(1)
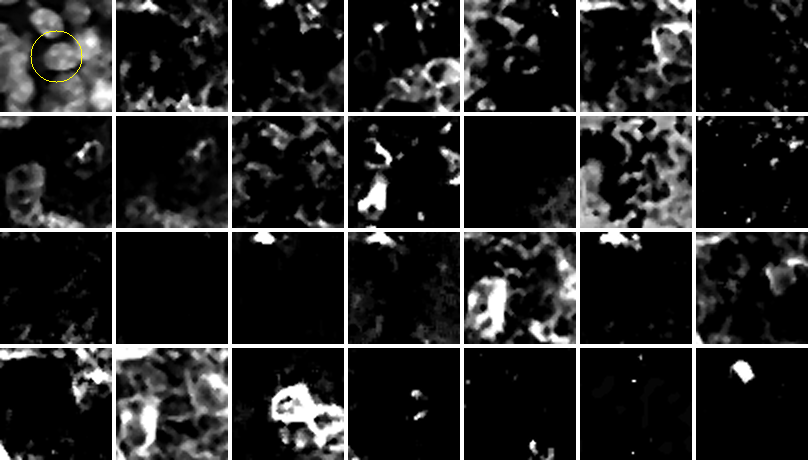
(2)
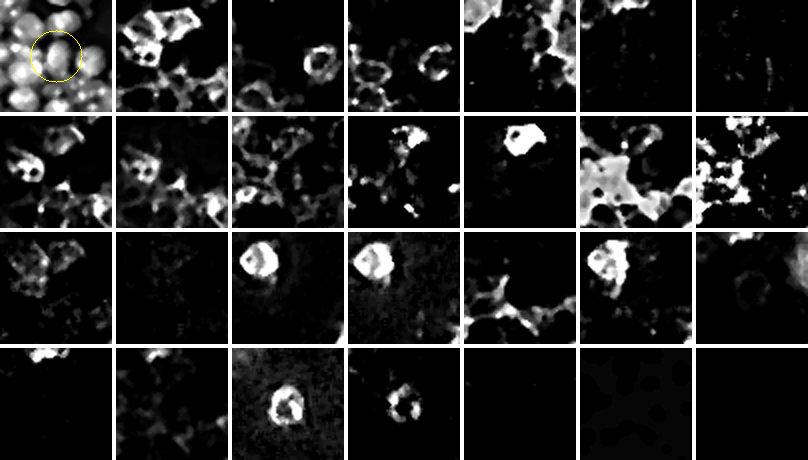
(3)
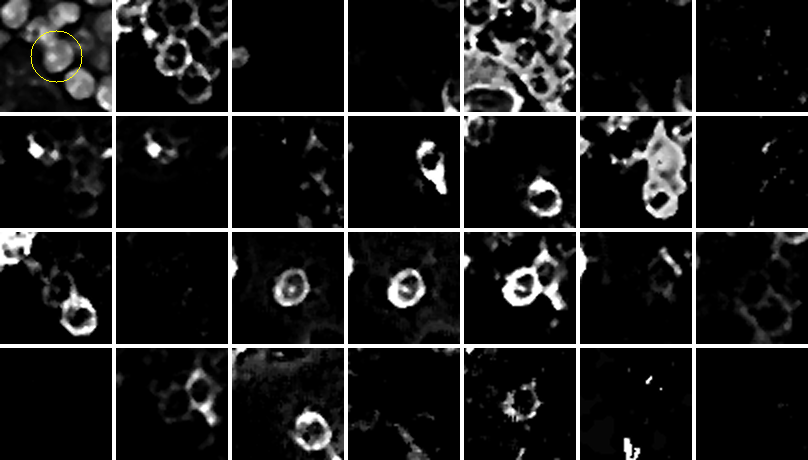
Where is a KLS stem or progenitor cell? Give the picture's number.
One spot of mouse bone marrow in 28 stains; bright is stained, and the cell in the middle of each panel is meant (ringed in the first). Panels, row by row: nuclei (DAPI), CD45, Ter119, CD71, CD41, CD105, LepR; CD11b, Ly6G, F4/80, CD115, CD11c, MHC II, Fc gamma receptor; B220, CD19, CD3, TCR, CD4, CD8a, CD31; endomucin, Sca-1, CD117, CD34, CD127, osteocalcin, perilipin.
1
